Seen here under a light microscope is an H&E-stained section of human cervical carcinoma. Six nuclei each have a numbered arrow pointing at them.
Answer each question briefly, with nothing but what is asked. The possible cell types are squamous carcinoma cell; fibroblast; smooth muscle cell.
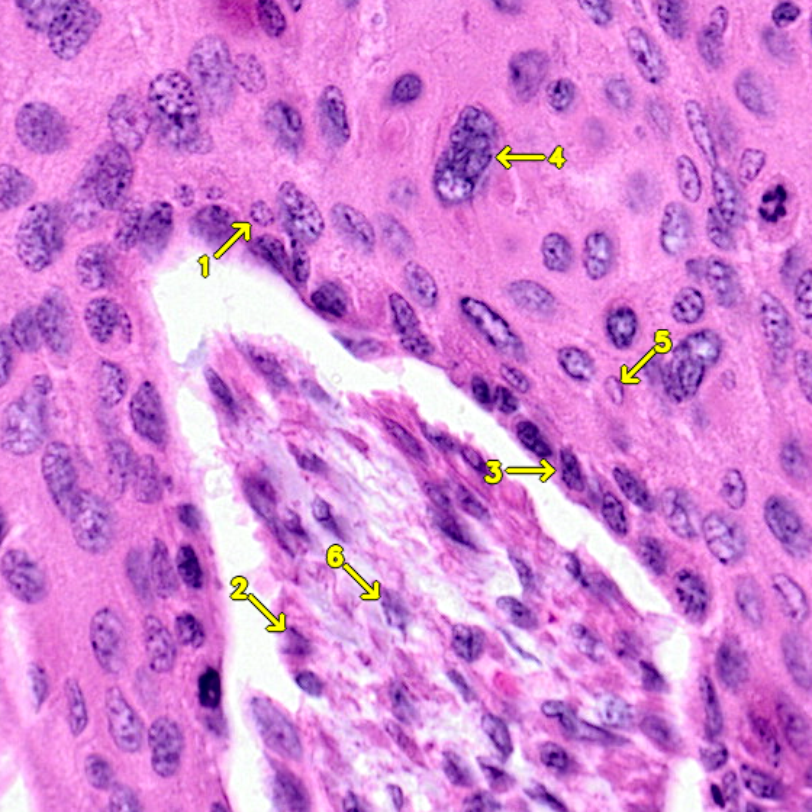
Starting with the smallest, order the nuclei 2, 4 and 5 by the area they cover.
5, 2, 4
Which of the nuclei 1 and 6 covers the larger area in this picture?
6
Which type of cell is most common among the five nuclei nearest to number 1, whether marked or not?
squamous carcinoma cell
